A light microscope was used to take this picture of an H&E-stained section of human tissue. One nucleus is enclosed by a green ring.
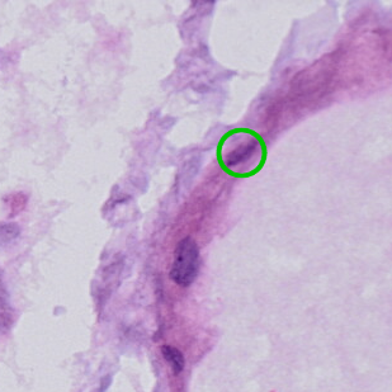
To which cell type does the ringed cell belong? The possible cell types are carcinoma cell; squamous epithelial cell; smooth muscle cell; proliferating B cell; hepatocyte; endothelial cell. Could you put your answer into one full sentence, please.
Within the stained tissue, the ringed cell is an endothelial cell.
